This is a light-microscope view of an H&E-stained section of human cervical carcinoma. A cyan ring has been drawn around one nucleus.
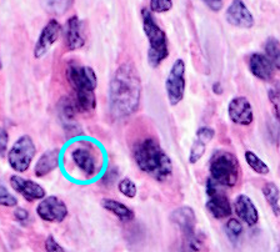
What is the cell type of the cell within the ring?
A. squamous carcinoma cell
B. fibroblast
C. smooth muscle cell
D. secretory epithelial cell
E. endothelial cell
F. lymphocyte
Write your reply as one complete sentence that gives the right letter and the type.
It is as option F has it, the cell within the ring being a lymphocyte.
